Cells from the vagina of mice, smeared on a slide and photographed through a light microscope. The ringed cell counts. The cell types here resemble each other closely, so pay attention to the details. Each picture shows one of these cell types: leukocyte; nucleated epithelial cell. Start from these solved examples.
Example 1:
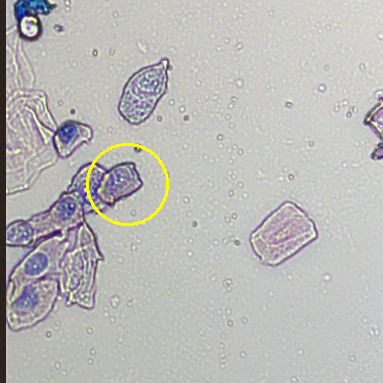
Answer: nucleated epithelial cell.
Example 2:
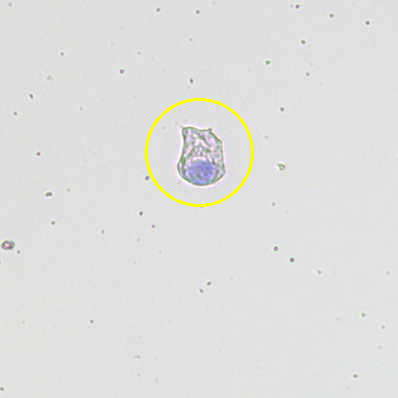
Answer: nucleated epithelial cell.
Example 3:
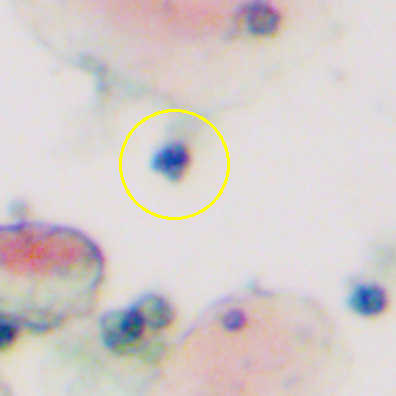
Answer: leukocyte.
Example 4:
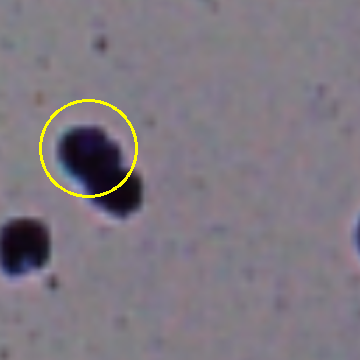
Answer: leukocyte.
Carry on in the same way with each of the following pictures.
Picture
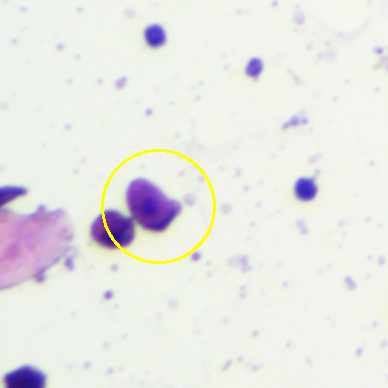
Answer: nucleated epithelial cell.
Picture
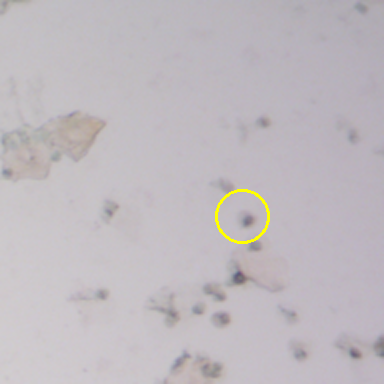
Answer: leukocyte.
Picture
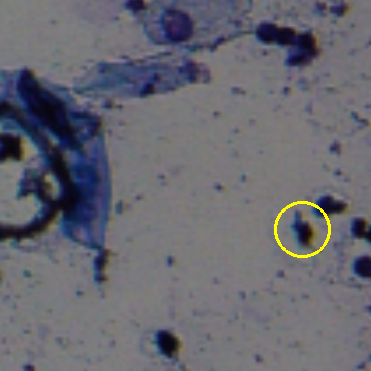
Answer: leukocyte.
